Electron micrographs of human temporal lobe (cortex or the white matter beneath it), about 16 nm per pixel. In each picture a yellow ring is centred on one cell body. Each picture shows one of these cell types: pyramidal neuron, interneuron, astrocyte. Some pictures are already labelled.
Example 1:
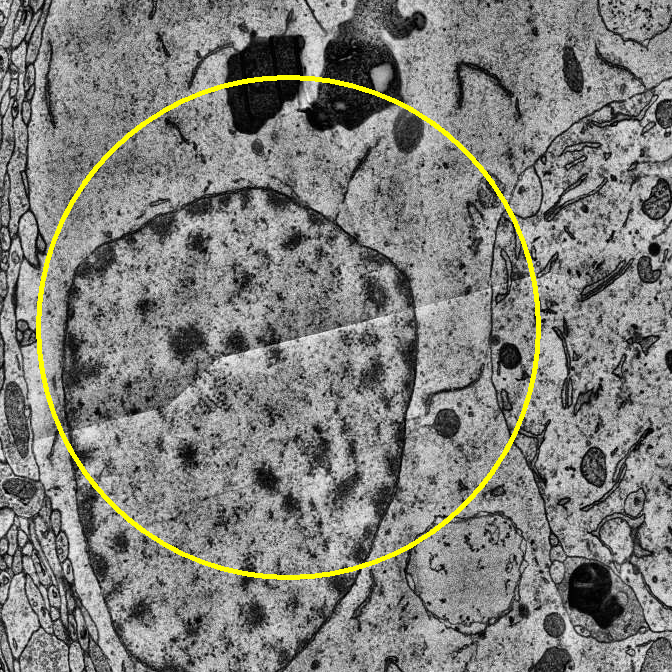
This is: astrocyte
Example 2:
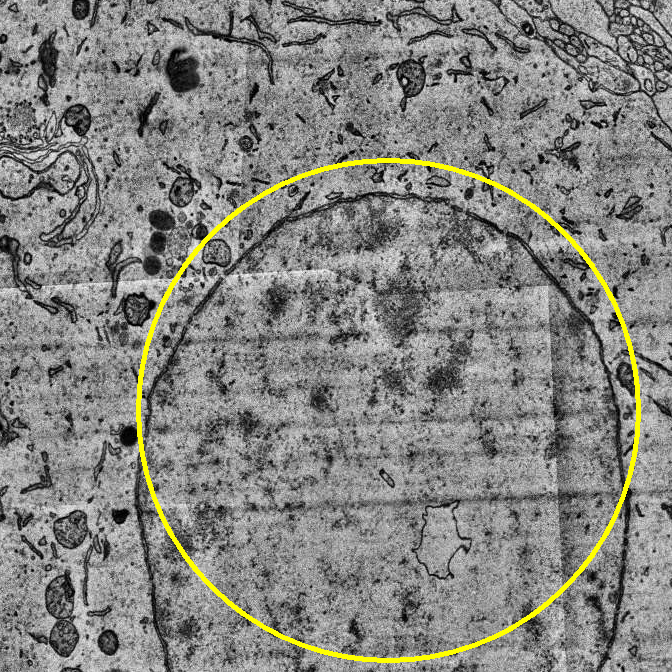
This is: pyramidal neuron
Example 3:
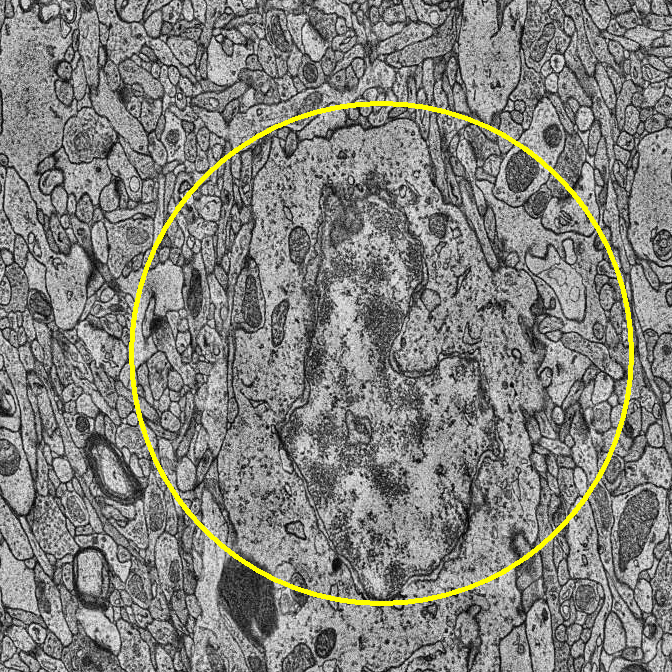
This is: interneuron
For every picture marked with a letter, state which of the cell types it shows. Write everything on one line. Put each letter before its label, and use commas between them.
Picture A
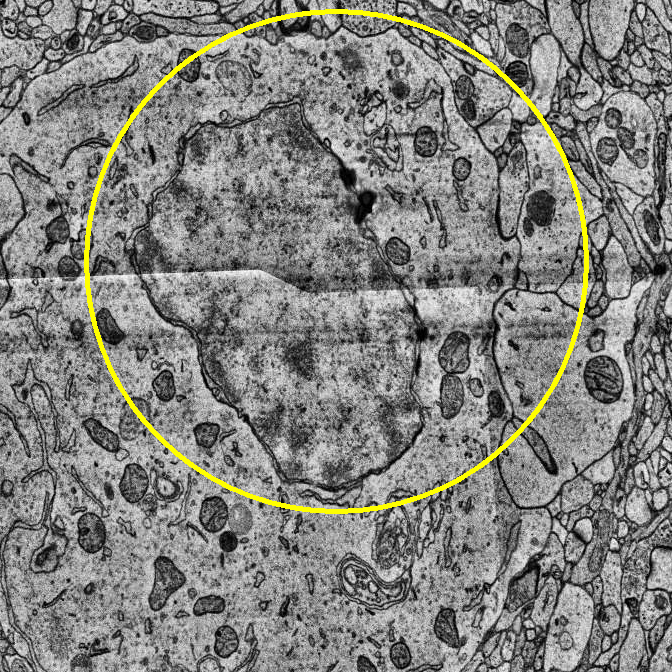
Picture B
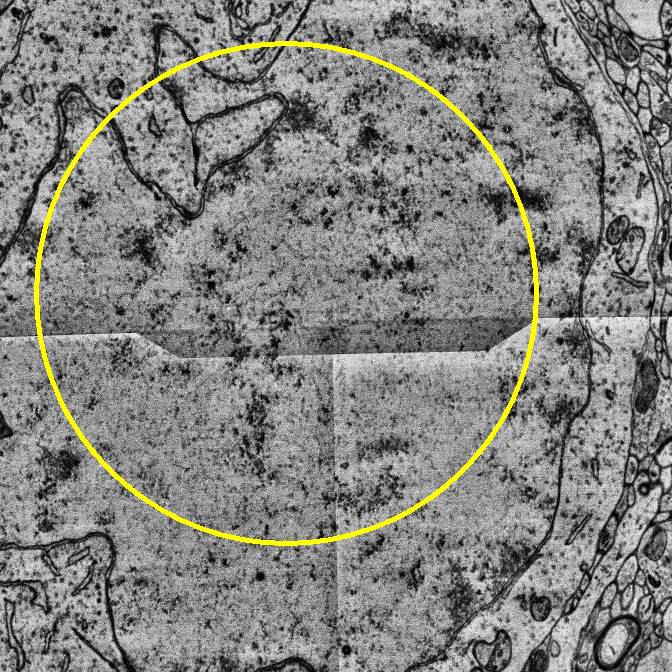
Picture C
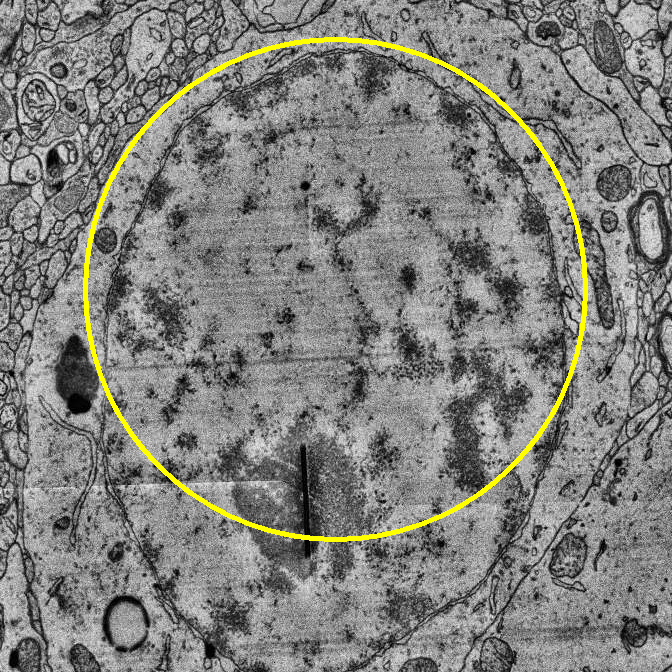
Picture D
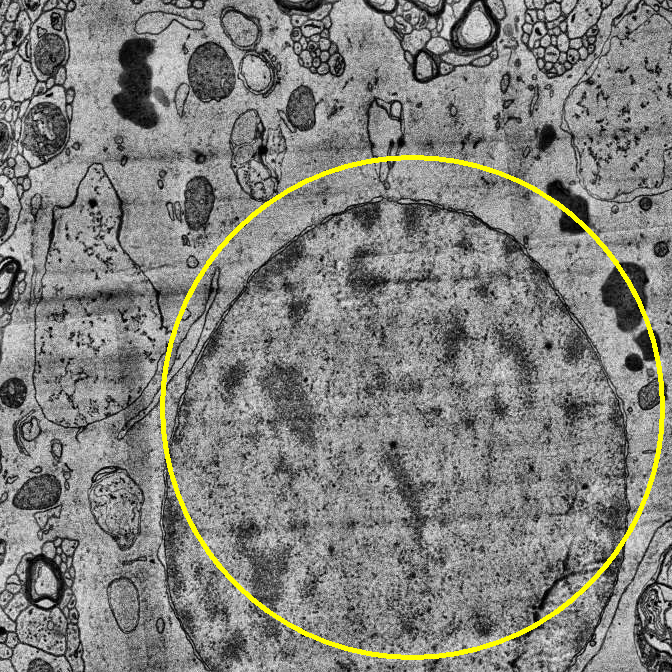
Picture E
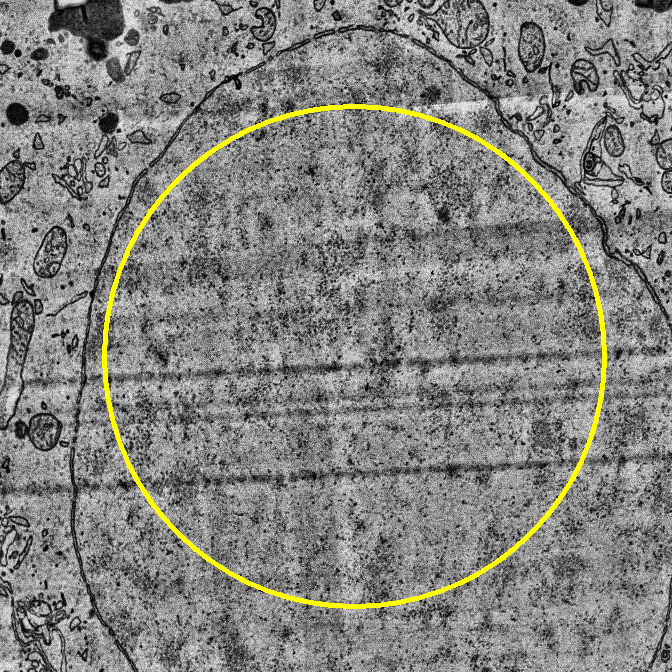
A interneuron, B interneuron, C interneuron, D astrocyte, E pyramidal neuron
